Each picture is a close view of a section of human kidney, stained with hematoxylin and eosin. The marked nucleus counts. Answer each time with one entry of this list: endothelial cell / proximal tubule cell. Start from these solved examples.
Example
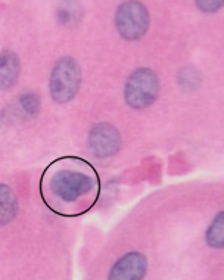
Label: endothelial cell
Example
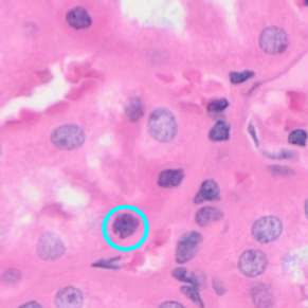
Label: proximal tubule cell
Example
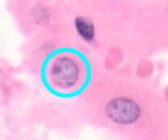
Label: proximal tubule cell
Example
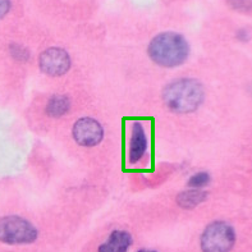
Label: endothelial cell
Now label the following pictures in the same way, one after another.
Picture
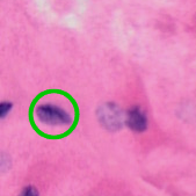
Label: endothelial cell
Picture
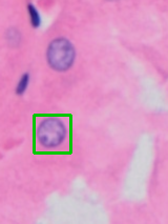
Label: proximal tubule cell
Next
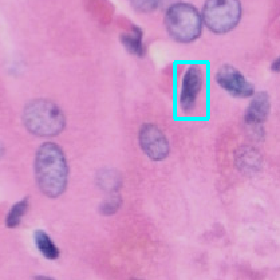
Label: endothelial cell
